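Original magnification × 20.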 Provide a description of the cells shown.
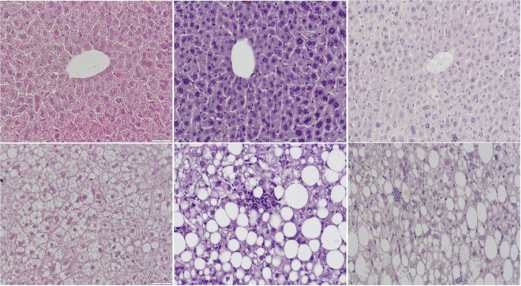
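Six sections of liver tissue are arranged in two rows of three. In the upper row, polygonal liver cells with pink to purple cytoplasm and single round central nuclei form cords. The cords run toward a round, empty vessel lumen near the middle of each image. In the lower row, the liver cells are filled and distended by clear, round vacuoles of very unequal size. Many vacuoles are large and push the nucleus aside. Small clusters of densely packed dark nuclei lie between the vacuolated cells. The normal cord pattern is largely obscured.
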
